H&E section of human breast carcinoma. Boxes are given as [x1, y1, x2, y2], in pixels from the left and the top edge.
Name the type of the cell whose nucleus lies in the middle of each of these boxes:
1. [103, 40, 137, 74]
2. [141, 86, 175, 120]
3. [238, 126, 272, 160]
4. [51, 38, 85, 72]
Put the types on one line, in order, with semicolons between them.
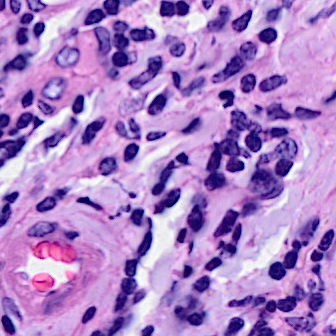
lymphocyte; lymphocyte; lymphocyte; endothelial cell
